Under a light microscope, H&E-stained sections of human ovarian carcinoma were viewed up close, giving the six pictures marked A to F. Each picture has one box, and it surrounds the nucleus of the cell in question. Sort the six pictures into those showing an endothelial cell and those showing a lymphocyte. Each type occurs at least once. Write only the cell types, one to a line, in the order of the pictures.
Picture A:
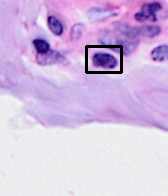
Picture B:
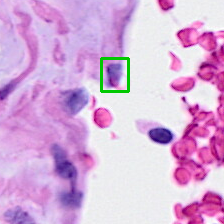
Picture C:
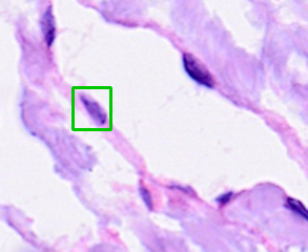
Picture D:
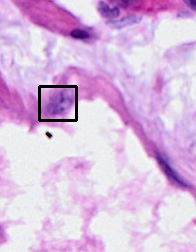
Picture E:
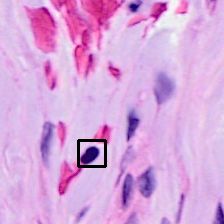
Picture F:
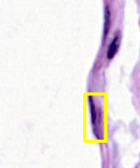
lymphocyte
endothelial cell
endothelial cell
endothelial cell
lymphocyte
endothelial cell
